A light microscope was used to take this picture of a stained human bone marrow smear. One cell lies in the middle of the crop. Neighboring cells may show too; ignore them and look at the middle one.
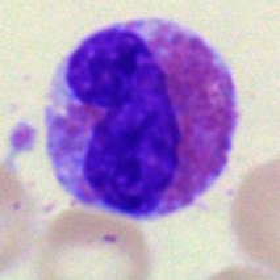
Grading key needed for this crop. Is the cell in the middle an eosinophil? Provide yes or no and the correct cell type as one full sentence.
Yes, what sits in the centre of the crop is an eosinophil.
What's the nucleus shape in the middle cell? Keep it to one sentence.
If you check the nucleus, you will find one compact mass, round, oval or kidney-shaped.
